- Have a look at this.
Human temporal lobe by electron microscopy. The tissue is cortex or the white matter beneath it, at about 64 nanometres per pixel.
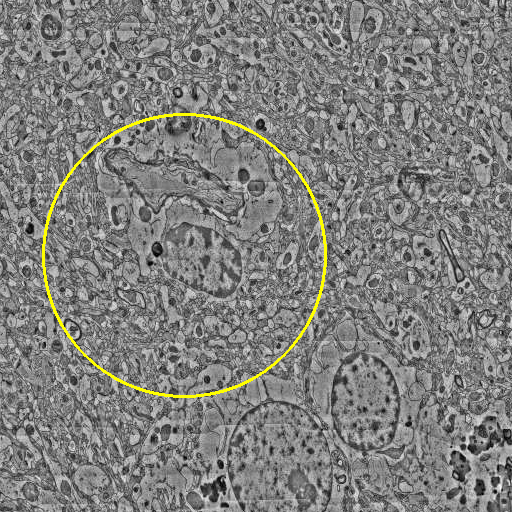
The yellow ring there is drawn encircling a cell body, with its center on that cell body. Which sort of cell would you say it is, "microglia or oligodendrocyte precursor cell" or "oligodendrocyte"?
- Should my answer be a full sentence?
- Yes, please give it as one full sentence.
For this picture, a microglial cell or oligodendrocyte precursor cell is the cell where the yellow ring has its center.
